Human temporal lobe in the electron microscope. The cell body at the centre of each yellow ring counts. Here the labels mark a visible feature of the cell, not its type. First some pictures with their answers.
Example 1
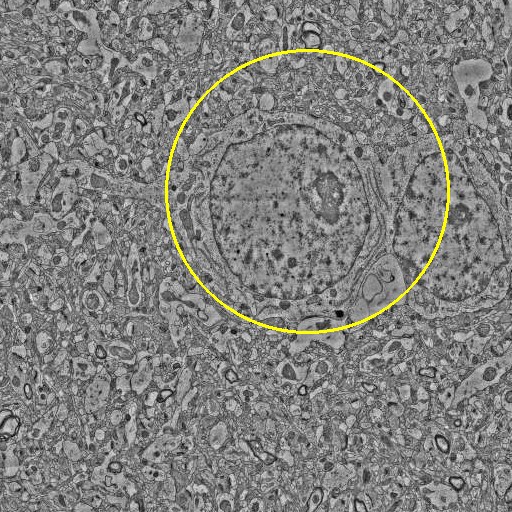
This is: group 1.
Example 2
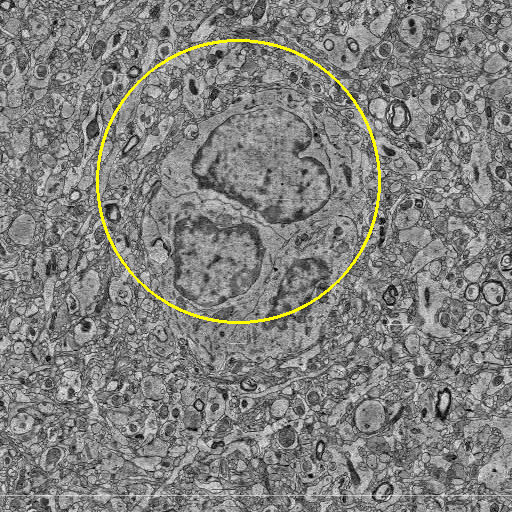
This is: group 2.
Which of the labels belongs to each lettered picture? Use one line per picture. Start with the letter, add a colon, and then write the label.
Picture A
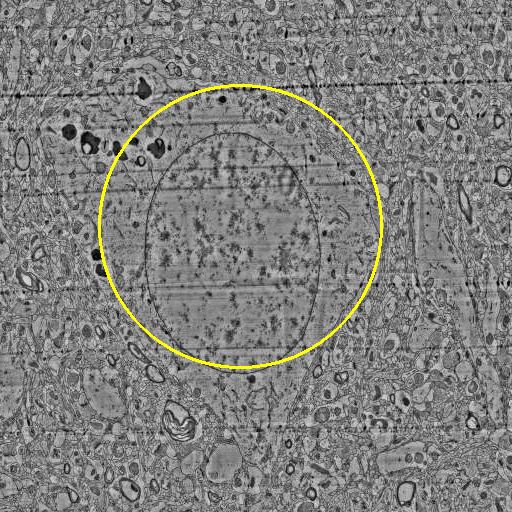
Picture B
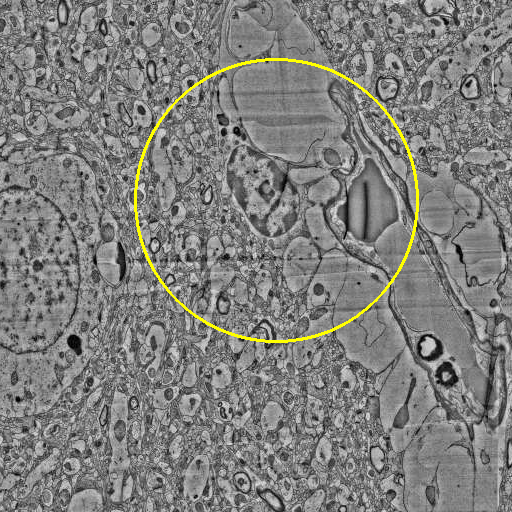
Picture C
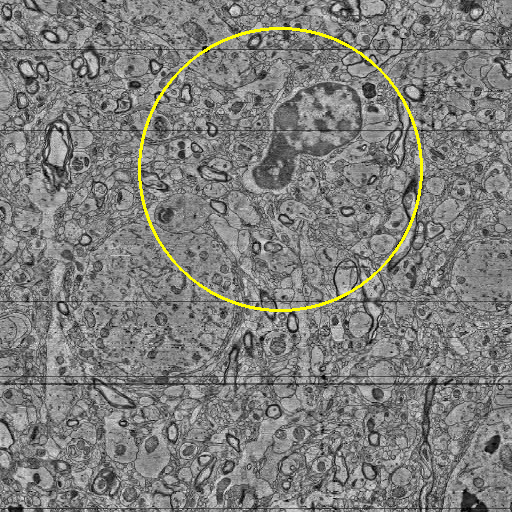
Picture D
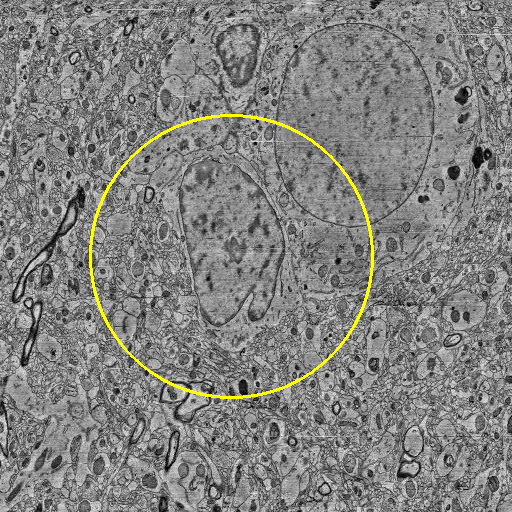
A: group 1.
B: group 2.
C: group 2.
D: group 2.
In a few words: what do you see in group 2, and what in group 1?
group 2, deeply folded or indented nuclear envelopes; group 1, smooth nuclear envelopes without deep folds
